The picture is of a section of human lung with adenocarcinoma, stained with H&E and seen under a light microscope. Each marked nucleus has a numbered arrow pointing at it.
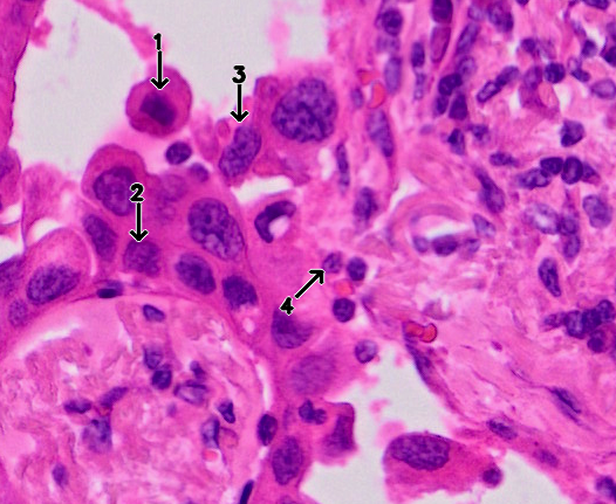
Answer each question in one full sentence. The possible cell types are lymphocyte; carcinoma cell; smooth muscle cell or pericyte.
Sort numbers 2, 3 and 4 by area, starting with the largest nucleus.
From largest to smallest, the order is 3, 2, 4.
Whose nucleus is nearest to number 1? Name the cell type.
Closest to number 1 lies the nucleus of a lymphocyte.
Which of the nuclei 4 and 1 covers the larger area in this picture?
Nucleus 1 is the larger one, covering about 3 times the area of nucleus 4.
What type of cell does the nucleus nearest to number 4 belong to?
Number 4 lies closest to the nucleus of a lymphocyte.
